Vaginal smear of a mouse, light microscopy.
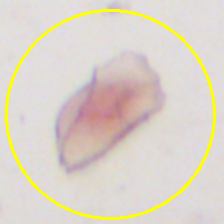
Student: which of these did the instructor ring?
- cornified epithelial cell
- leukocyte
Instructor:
The cell I ringed is a cornified epithelial cell.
